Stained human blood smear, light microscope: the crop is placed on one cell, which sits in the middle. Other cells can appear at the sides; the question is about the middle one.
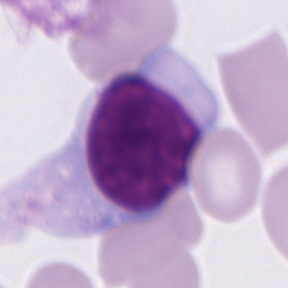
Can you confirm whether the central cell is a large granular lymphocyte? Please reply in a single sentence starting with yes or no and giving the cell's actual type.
Yes, the identity of the central cell is that of a large granular lymphocyte.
